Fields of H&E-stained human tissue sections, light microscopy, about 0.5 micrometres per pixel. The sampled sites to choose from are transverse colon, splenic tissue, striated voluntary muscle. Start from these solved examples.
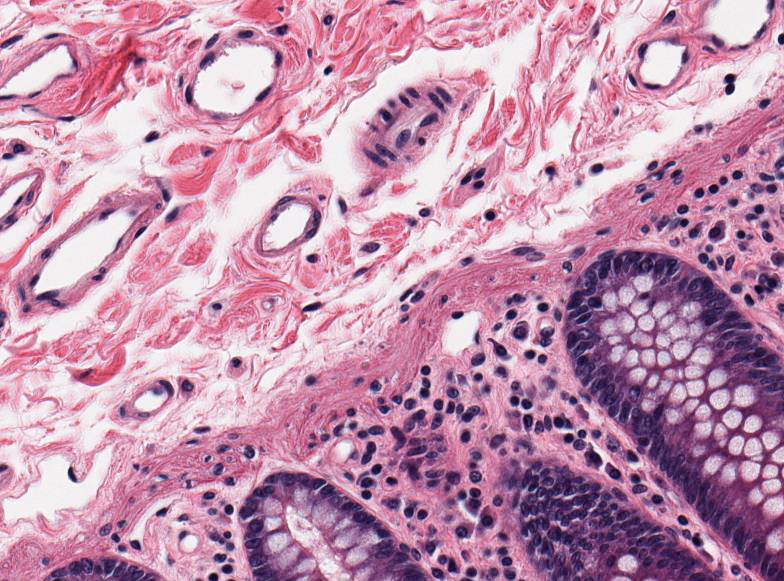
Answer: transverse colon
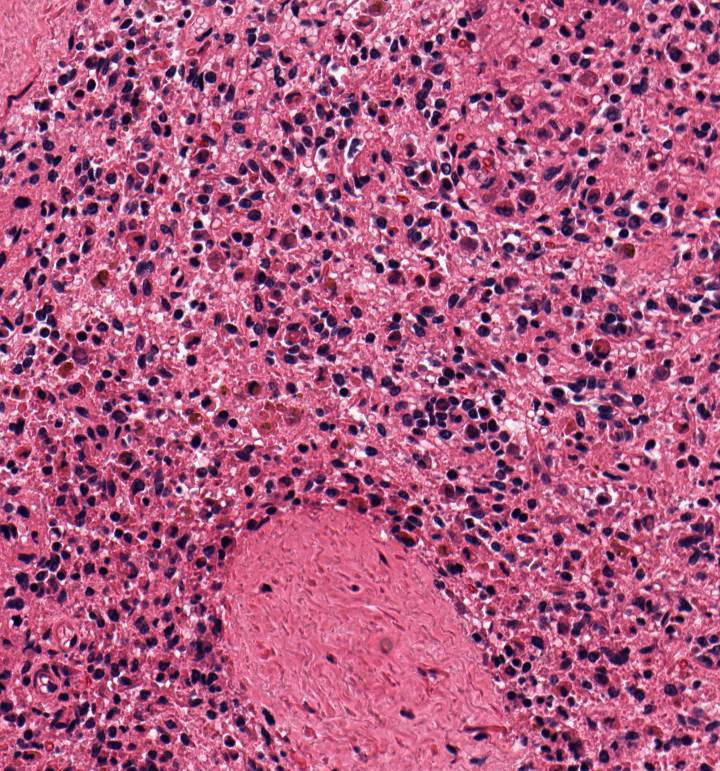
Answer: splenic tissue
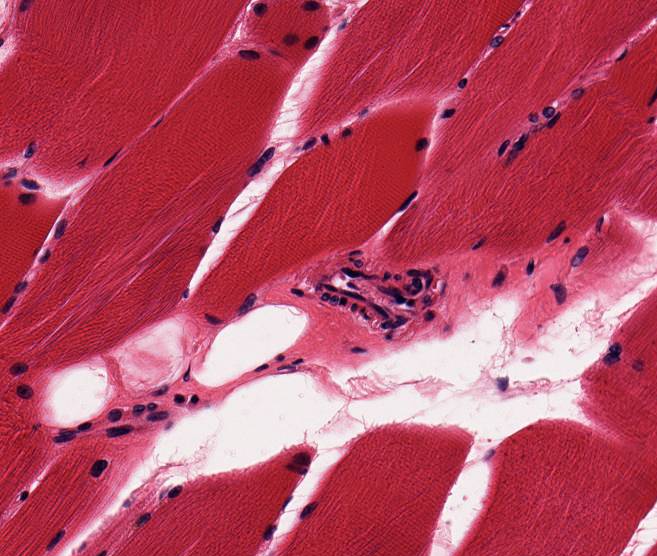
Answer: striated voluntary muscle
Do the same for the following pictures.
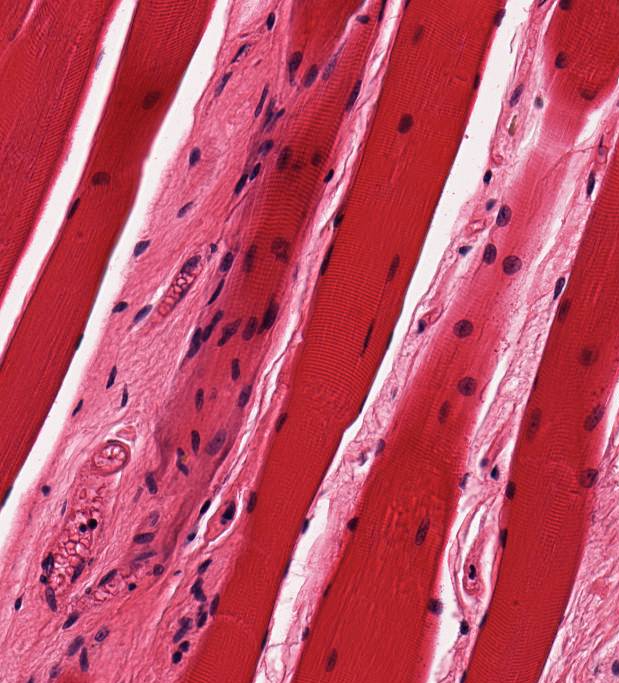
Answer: striated voluntary muscle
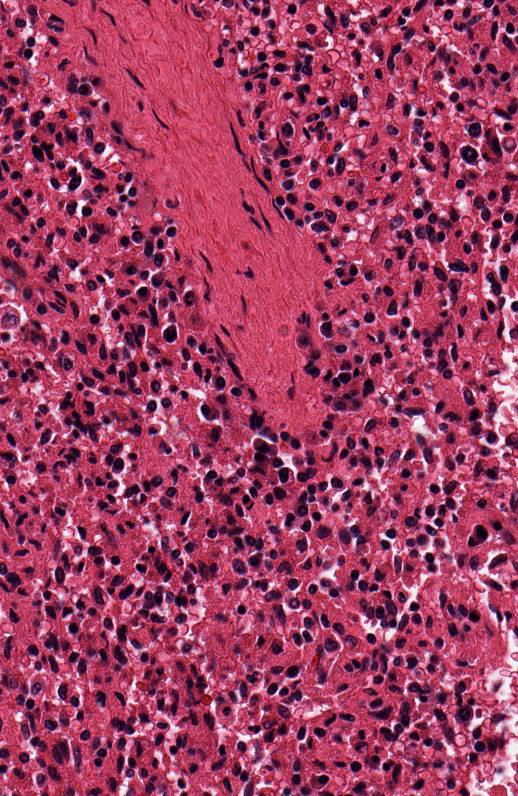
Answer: splenic tissue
